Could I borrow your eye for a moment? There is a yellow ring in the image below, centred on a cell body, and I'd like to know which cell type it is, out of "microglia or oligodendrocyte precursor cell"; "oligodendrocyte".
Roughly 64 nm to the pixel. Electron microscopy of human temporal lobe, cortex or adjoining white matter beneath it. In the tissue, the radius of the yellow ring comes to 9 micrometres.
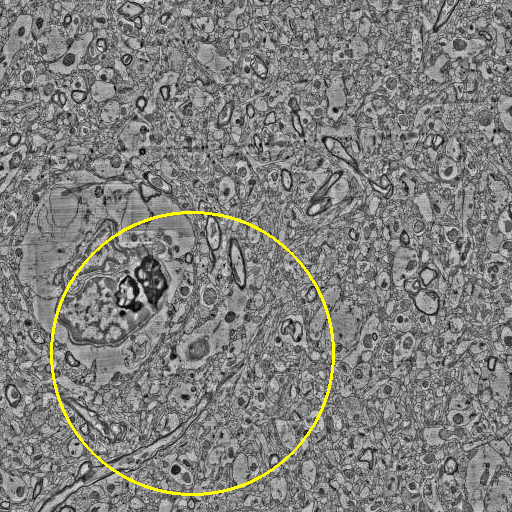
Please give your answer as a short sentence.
The cell body at the centre is that of a microglial cell or oligodendrocyte precursor cell.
